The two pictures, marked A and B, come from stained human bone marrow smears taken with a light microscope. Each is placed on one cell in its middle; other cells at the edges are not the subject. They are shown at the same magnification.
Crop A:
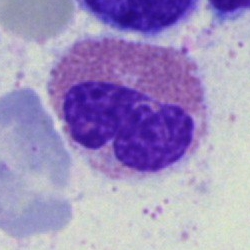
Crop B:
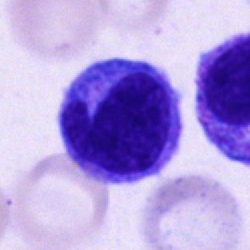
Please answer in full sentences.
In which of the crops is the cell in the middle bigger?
The cell in crop A is larger, with about 1.5 times the area of the one in crop B.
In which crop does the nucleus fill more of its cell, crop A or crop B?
Of the two, the nucleus in crop B makes up the greater part of its cell.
